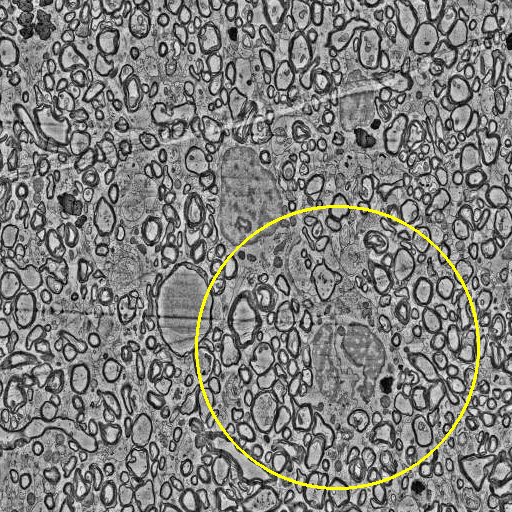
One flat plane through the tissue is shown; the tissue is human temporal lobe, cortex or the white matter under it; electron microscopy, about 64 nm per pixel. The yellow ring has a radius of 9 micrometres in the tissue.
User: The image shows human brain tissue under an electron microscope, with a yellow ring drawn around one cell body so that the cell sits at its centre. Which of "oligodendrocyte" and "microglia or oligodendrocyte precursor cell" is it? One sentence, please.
At the centre of the ring sits an oligodendrocyte.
